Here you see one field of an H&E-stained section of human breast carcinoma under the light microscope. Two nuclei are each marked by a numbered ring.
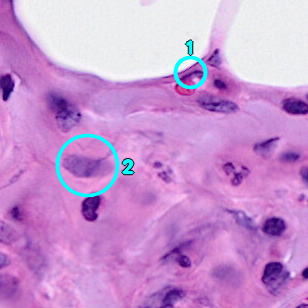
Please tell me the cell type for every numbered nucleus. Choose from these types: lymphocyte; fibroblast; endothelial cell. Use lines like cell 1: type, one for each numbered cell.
cell 1: endothelial cell
cell 2: fibroblast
